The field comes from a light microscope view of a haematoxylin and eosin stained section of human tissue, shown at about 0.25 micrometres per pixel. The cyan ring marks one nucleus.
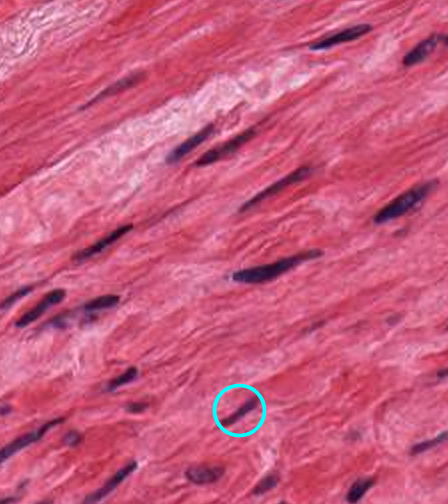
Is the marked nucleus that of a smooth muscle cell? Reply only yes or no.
yes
